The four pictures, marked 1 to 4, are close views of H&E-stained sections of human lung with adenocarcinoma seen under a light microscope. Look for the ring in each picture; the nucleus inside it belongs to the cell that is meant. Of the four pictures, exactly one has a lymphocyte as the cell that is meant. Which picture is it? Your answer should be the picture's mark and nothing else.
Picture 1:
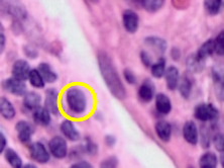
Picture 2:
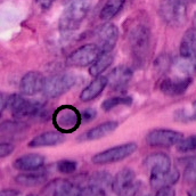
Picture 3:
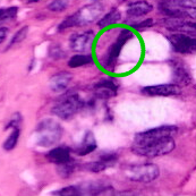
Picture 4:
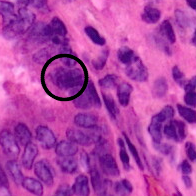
1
